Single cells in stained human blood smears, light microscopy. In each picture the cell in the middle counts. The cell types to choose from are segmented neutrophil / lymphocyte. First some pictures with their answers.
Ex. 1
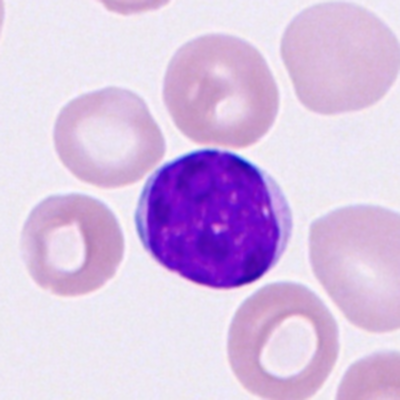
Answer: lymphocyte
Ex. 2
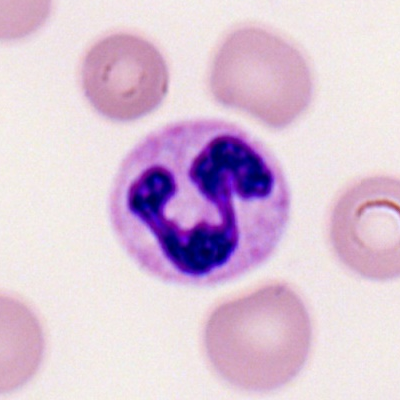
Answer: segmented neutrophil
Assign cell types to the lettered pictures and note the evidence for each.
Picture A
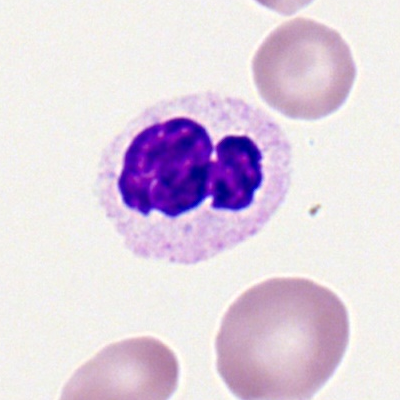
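segmented neutrophil. Reason: The nucleus is divided into two lobes.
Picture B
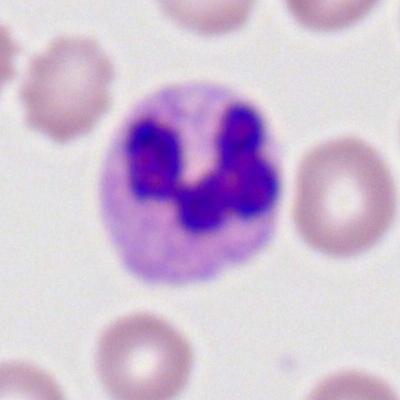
segmented neutrophil. Reason: The nucleus is divided into separate lobes.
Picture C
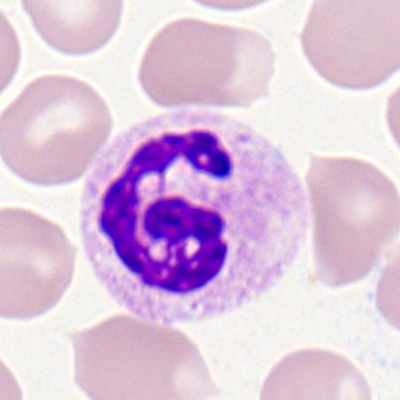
segmented neutrophil. Reason: The nucleus is a curved band that curls into a C-like shape.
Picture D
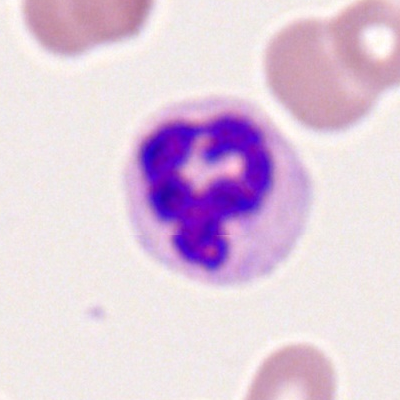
segmented neutrophil. Reason: The nucleus is divided into several lobes.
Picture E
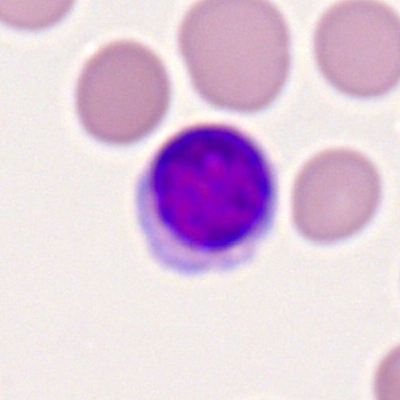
lymphocyte. Reason: The nucleus fills most of the cell.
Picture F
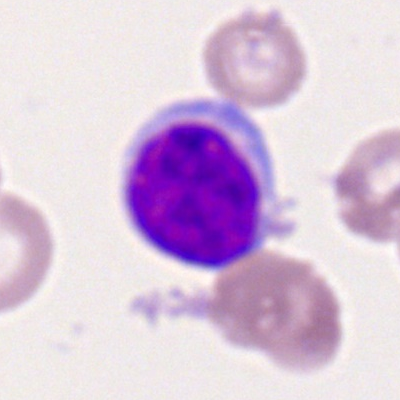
lymphocyte. Reason: The cytoplasm is a scant rim of pale blue.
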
